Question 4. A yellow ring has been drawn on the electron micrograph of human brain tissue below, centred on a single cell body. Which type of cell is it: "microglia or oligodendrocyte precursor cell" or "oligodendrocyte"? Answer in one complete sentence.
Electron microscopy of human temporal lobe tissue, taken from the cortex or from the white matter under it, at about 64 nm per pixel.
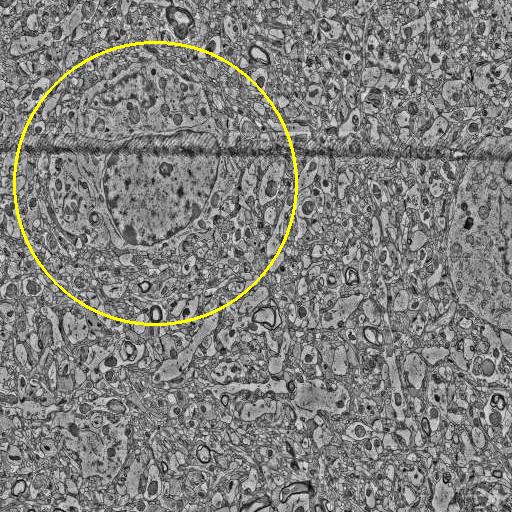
This cell body belongs to a microglial cell or oligodendrocyte precursor cell.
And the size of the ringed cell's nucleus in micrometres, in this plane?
Roughly 9 by 7 micrometres is the size of the nucleus in this plane.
